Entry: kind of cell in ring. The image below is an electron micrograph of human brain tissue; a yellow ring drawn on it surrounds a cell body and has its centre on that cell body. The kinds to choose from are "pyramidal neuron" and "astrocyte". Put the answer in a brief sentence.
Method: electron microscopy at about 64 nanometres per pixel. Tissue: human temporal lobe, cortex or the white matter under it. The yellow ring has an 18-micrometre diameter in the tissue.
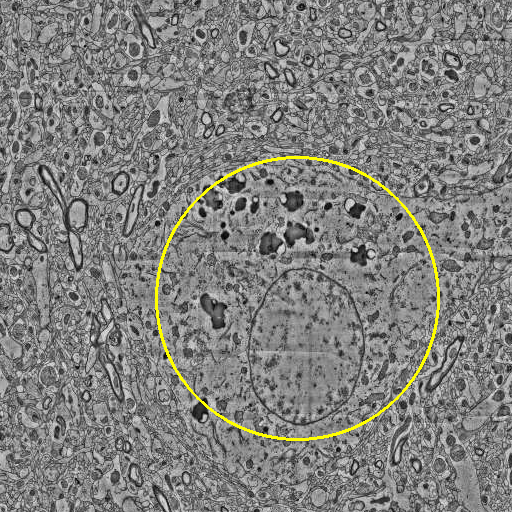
The ring has been drawn around a pyramidal neuron.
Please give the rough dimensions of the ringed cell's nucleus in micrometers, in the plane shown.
About 10 by 8 micrometres in this plane.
